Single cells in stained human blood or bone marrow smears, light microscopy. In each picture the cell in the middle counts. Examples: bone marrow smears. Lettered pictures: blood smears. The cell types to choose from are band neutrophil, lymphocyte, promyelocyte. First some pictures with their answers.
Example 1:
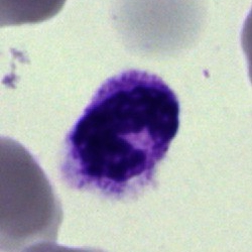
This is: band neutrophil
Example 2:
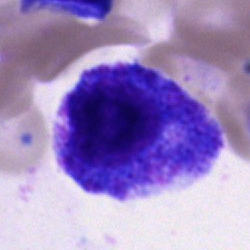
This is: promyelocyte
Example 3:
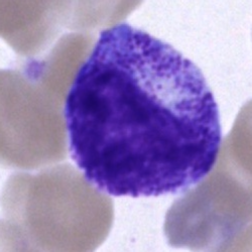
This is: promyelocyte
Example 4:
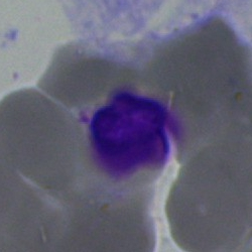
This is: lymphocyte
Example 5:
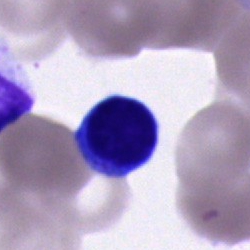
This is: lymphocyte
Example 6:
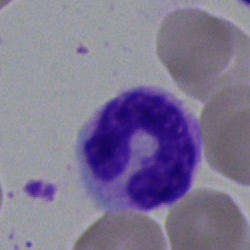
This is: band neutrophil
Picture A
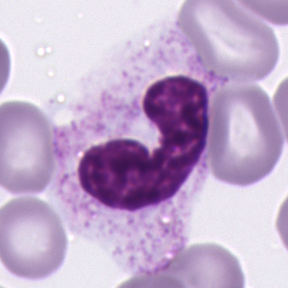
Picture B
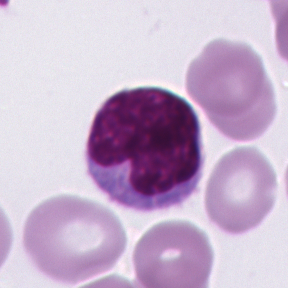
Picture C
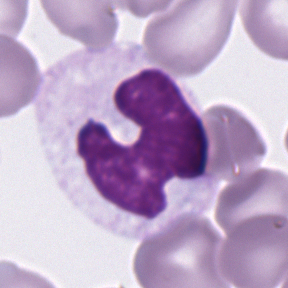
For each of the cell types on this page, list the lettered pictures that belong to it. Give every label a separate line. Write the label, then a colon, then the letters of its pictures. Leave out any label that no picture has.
band neutrophil: A, C
lymphocyte: B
